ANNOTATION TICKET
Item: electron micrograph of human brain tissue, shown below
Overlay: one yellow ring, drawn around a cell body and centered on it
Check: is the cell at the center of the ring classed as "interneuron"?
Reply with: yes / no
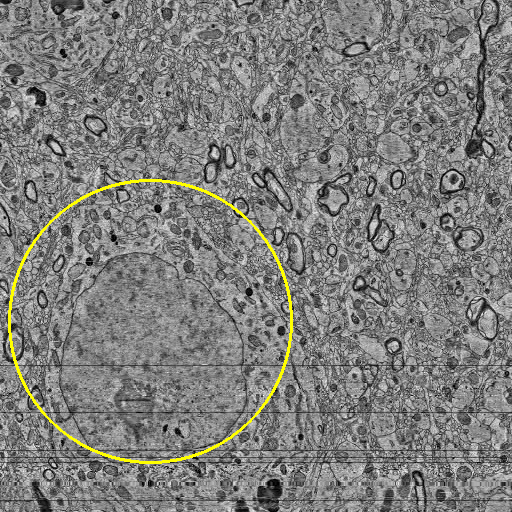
yes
